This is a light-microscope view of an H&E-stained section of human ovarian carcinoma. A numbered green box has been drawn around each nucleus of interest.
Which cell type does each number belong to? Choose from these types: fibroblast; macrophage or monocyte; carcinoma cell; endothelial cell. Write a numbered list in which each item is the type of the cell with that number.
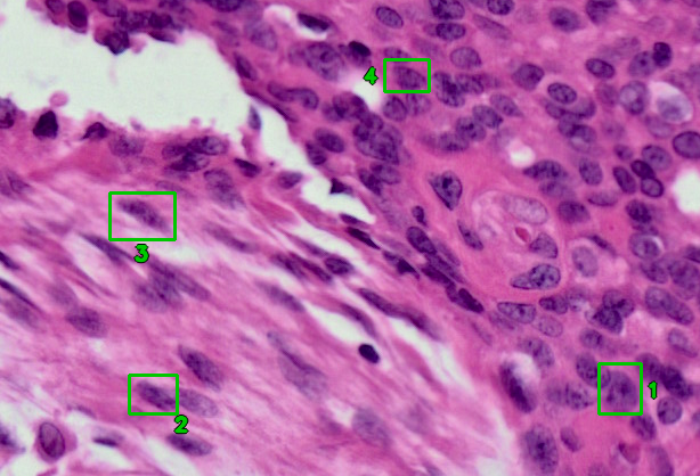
1. carcinoma cell
2. fibroblast
3. fibroblast
4. carcinoma cell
